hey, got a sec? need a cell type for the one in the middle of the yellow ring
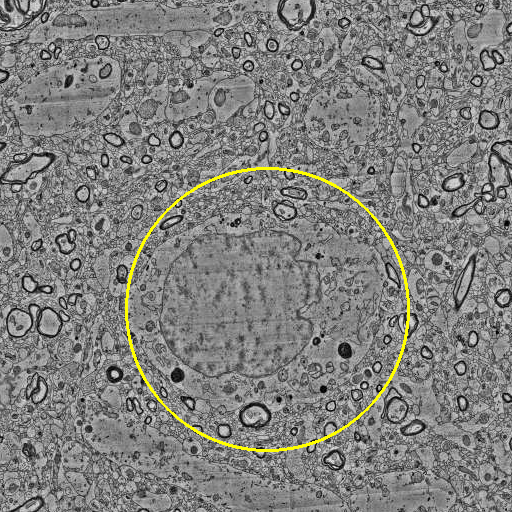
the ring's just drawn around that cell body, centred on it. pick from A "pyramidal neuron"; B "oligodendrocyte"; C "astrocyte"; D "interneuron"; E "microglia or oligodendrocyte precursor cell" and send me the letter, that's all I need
D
